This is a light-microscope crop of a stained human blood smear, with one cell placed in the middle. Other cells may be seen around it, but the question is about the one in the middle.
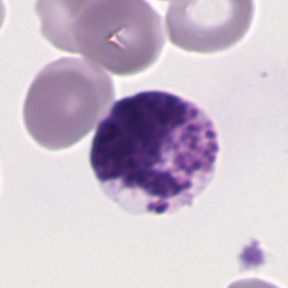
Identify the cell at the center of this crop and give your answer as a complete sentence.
This crop is built around a basophil at its centre.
